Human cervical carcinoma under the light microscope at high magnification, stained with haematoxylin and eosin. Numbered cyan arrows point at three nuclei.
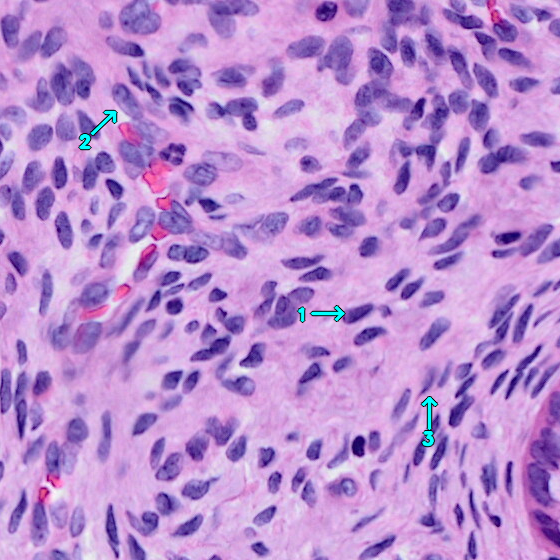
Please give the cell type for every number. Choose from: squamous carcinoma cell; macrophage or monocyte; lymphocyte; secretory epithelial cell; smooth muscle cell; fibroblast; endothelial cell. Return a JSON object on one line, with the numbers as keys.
{"1": "fibroblast", "2": "endothelial cell", "3": "fibroblast"}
